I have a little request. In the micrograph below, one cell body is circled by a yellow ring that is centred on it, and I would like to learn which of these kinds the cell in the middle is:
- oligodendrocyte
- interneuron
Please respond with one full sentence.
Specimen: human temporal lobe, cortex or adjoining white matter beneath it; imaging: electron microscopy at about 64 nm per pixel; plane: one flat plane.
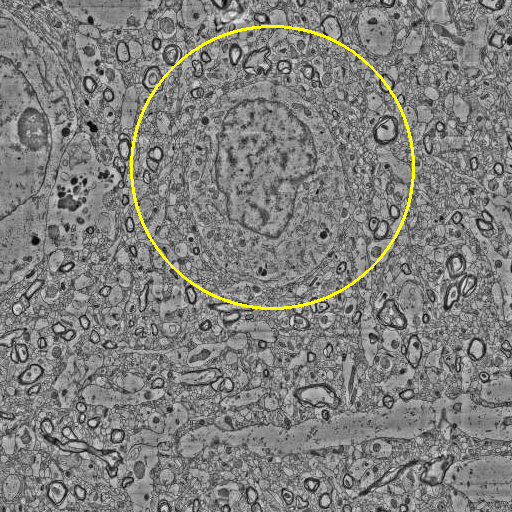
The cell sitting in the middle of the yellow ring in the micrograph is an interneuron.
